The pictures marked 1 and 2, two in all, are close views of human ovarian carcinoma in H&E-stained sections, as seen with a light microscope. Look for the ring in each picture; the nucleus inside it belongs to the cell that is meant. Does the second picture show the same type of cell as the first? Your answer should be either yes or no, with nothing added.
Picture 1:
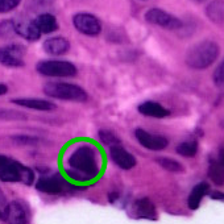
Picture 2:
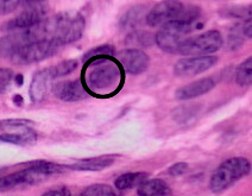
yes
